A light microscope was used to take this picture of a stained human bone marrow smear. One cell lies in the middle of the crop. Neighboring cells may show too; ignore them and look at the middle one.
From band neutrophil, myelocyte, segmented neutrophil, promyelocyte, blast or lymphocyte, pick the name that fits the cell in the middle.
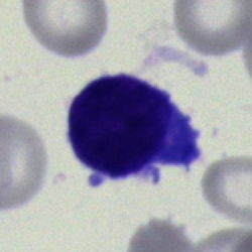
blast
